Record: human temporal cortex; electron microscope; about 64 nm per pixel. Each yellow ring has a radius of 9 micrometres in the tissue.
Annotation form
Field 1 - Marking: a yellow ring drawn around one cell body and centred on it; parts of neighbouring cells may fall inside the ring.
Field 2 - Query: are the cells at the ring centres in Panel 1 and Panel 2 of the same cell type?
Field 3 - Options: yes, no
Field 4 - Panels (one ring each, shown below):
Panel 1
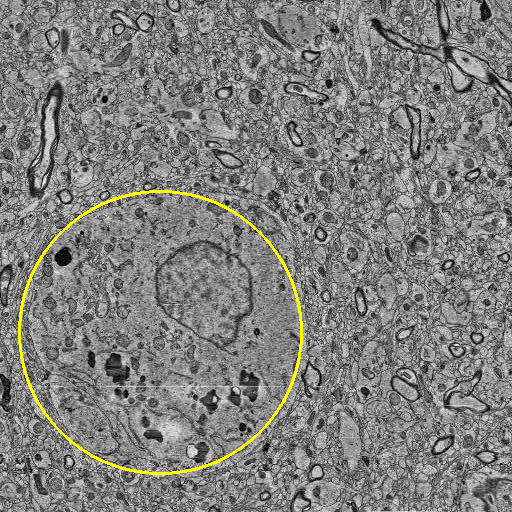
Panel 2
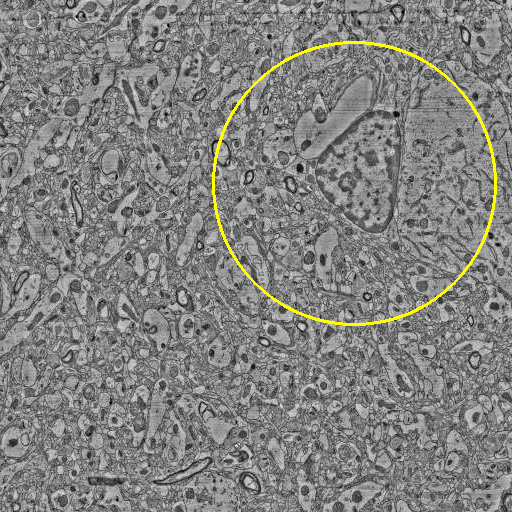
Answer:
no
